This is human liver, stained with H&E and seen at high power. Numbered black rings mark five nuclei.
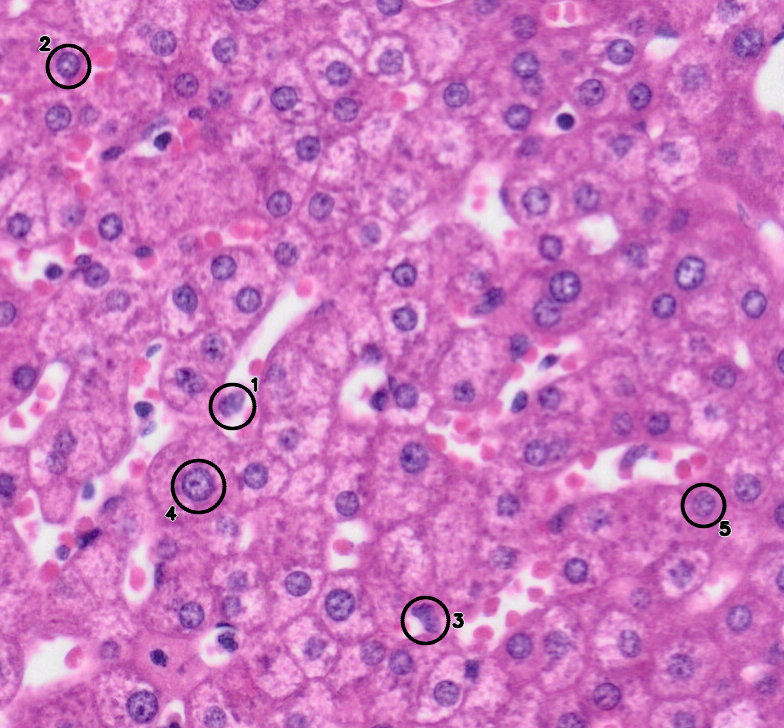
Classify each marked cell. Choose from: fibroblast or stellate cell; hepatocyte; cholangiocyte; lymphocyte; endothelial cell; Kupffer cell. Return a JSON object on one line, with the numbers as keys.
{"1": "Kupffer cell", "2": "hepatocyte", "3": "endothelial cell", "4": "hepatocyte", "5": "hepatocyte"}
